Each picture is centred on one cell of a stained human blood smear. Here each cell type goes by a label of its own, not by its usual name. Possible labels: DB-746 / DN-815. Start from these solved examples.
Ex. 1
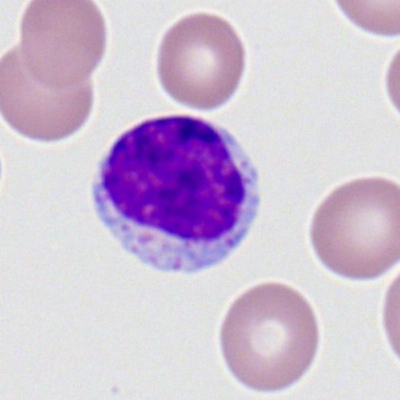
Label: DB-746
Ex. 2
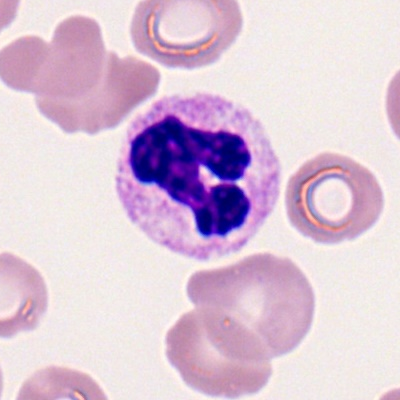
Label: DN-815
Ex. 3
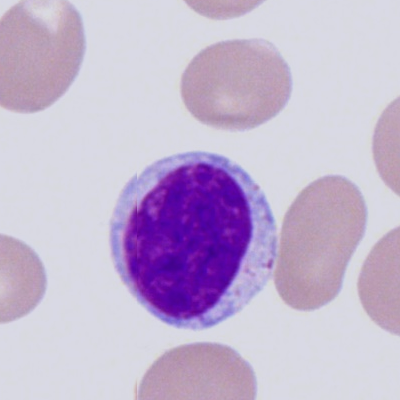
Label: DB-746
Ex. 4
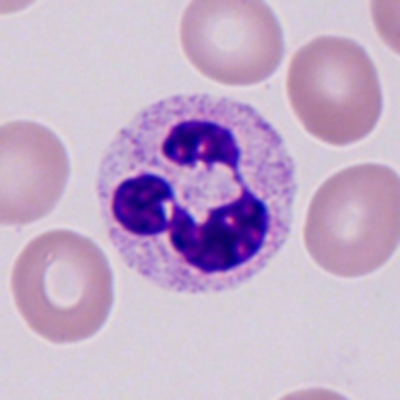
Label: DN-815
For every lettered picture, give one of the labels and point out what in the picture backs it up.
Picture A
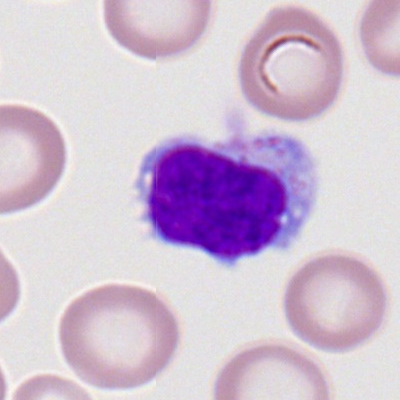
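Answer: DB-746. The nucleus is a single unlobed mass that fills most of the cell.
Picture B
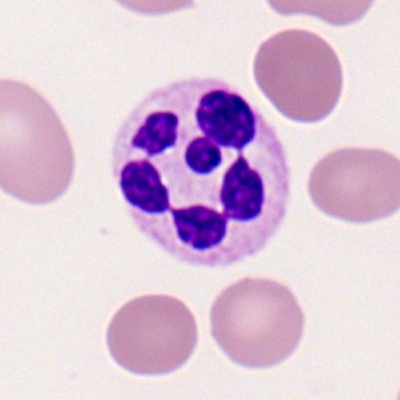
Answer: DN-815. The cytoplasm is plentiful and pale pinkish-lilac.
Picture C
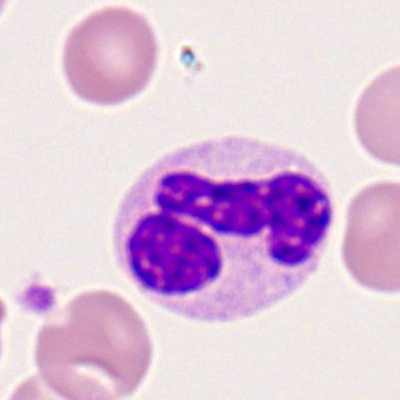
Answer: DN-815. The cytoplasm is plentiful and pale pinkish-lilac.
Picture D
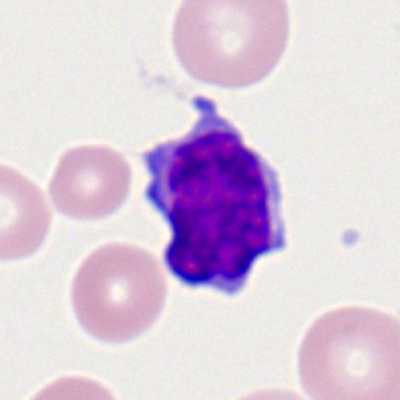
Answer: DB-746. The nucleus fills most of the cell.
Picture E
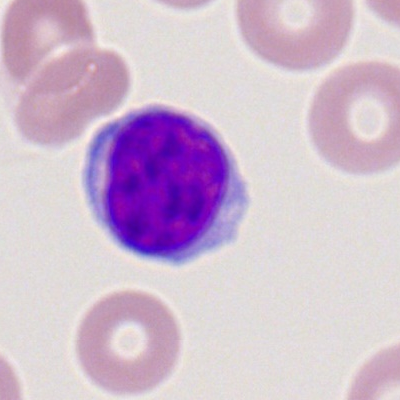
Answer: DB-746. The nucleus fills most of the cell.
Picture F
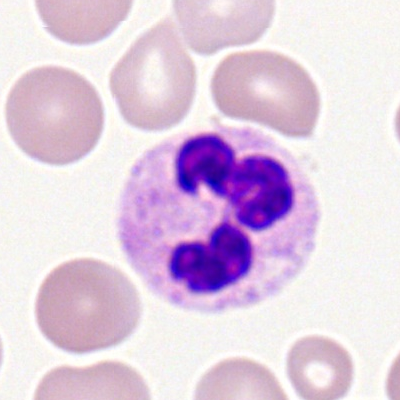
Answer: DN-815. The nucleus is divided into three separate lobes.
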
